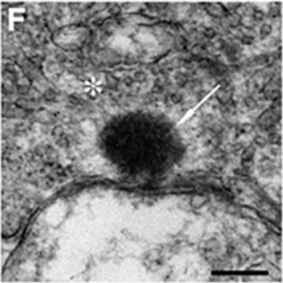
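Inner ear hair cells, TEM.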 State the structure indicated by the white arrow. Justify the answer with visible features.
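The arrow ends on a dark, electron-dense round body. The dark body sits just above a membrane at the bottom of the image. On this evidence: ribbon density.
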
